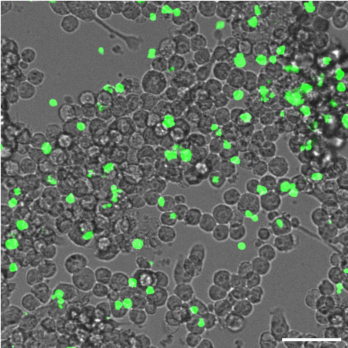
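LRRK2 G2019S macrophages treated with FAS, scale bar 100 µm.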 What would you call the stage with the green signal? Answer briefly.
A: Death cells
